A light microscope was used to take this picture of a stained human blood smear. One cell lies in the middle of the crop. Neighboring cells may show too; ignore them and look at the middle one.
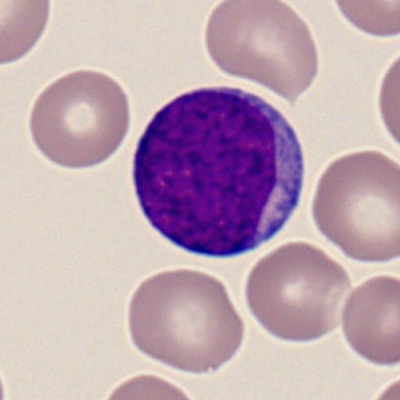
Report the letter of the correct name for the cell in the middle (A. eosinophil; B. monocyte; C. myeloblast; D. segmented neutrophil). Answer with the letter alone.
C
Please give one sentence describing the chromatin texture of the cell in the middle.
Thanks for asking; the chromatin is coarsely clumped.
